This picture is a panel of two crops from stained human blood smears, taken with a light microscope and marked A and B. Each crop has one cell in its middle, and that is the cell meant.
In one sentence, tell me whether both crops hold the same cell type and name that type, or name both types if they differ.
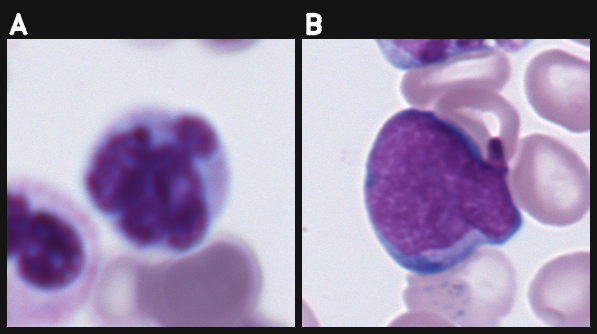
No, crop B shows a myeloblast, and crop A shows a monocyte.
